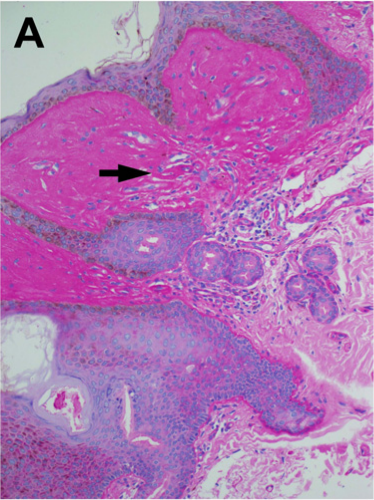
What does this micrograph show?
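Skin in which the papillary dermis is expanded by broad masses of homogeneous, glassy magenta material that fill the dermal papillae and push up against the overlying epidermis. The epidermis shows a purple layer of keratinocytes with a pigmented basal layer, and small round adnexal profiles lie in the dermis beneath the deposits. Only a few scattered inflammatory cells with small dark nuclei are present among the deposits.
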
